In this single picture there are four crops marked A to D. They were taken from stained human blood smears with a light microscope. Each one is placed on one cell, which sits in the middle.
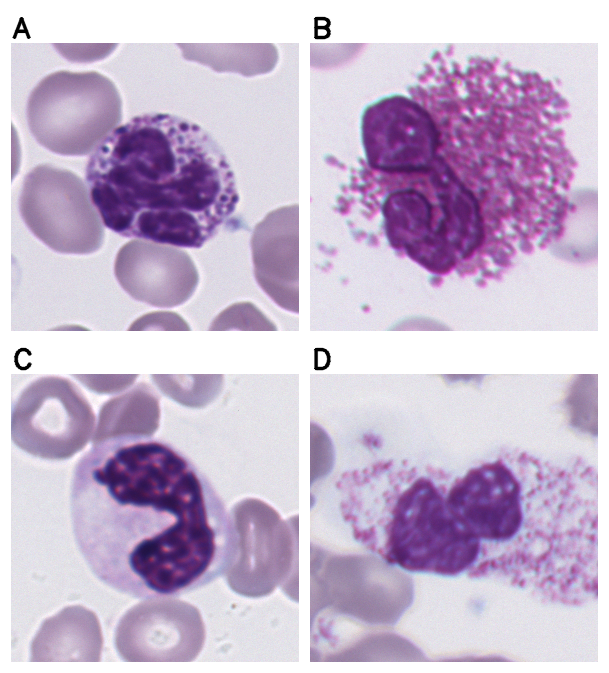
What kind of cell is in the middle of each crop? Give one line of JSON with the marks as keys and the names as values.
{"A": "basophil", "B": "eosinophil", "C": "band neutrophil", "D": "segmented neutrophil"}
